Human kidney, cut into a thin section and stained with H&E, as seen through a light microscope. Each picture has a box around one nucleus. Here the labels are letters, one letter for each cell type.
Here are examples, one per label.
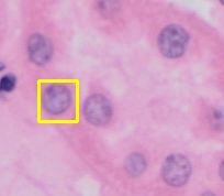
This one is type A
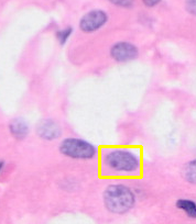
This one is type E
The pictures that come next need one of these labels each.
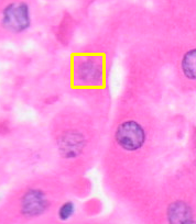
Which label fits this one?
type A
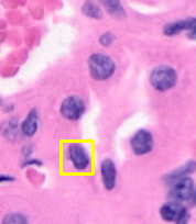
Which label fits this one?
type E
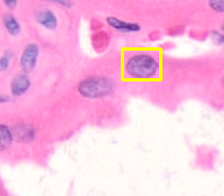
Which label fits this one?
type A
